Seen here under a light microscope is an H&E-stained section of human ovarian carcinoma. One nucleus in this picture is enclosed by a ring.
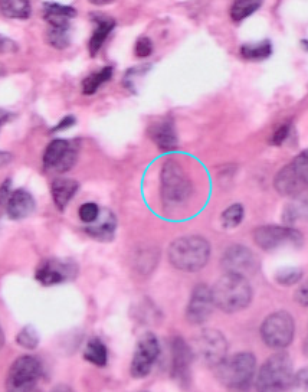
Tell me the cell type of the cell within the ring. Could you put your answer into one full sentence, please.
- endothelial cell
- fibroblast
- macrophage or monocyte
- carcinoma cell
Right, so the cell within the ring is an endothelial cell, to answer that.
